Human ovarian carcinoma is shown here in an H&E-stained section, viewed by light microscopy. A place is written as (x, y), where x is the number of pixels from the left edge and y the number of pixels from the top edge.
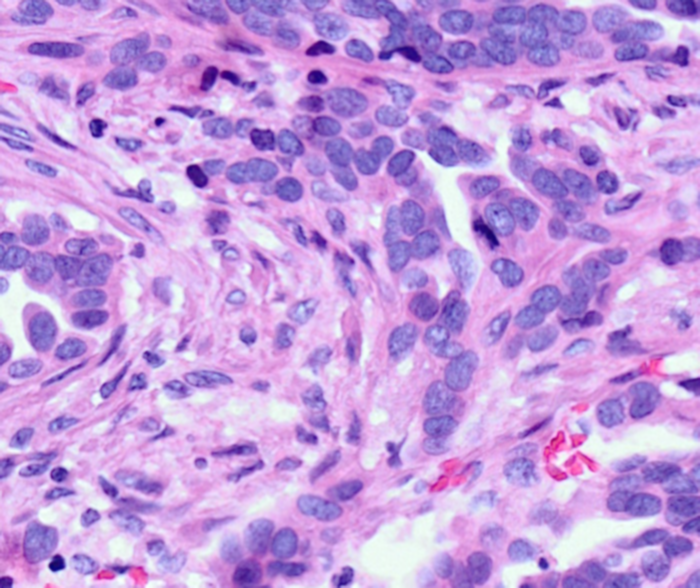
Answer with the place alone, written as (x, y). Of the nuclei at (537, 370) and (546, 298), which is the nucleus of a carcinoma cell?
(546, 298)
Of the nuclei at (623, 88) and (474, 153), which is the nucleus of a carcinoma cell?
(474, 153)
